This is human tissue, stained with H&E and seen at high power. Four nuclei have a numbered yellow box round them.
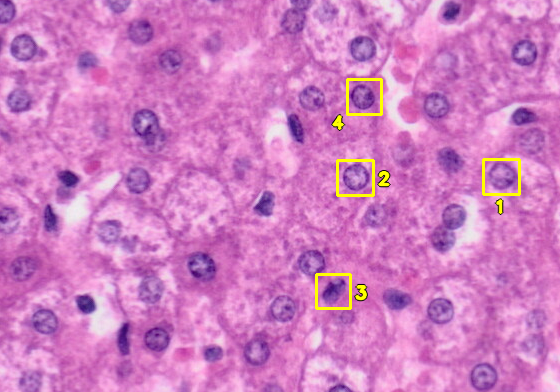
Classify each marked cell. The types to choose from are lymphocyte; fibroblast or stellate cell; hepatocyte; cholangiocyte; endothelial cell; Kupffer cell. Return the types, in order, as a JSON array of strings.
["hepatocyte", "hepatocyte", "fibroblast or stellate cell", "hepatocyte"]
